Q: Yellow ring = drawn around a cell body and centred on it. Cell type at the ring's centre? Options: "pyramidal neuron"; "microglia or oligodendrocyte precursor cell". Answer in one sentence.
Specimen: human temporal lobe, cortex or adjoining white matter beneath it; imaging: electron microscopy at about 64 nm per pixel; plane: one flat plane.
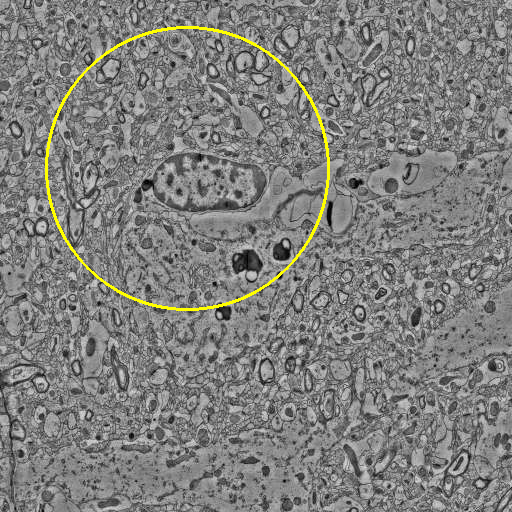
Centred in the ring is a microglial cell or oligodendrocyte precursor cell.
